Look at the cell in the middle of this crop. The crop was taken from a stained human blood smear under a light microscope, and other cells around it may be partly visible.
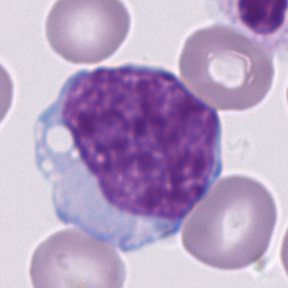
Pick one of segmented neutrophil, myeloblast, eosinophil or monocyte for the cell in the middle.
myeloblast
